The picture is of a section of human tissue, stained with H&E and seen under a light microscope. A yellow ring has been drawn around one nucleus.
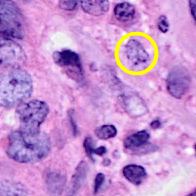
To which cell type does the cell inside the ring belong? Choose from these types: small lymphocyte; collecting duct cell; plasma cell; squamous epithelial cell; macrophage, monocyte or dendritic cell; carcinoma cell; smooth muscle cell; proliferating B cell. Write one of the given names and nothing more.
macrophage, monocyte or dendritic cell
